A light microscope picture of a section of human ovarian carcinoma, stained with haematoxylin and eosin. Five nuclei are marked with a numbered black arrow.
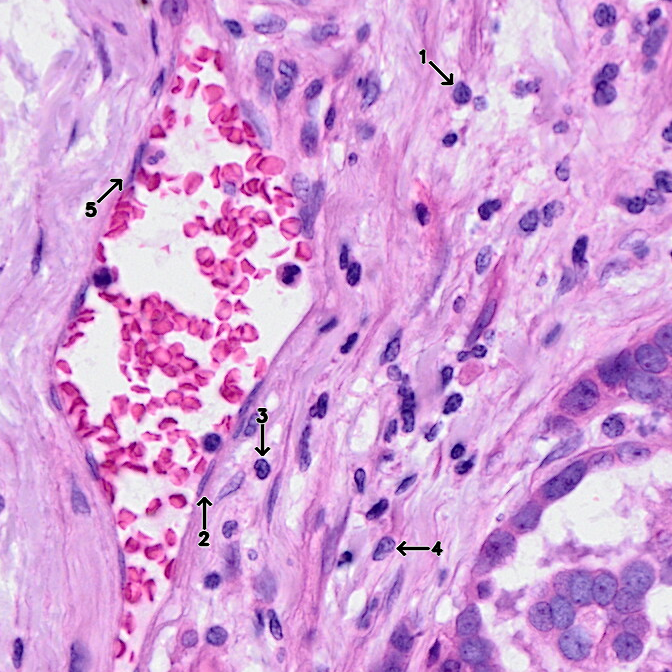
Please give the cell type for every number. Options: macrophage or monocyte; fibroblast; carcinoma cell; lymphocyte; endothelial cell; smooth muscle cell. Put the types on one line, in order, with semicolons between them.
lymphocyte; endothelial cell; lymphocyte; lymphocyte; endothelial cell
